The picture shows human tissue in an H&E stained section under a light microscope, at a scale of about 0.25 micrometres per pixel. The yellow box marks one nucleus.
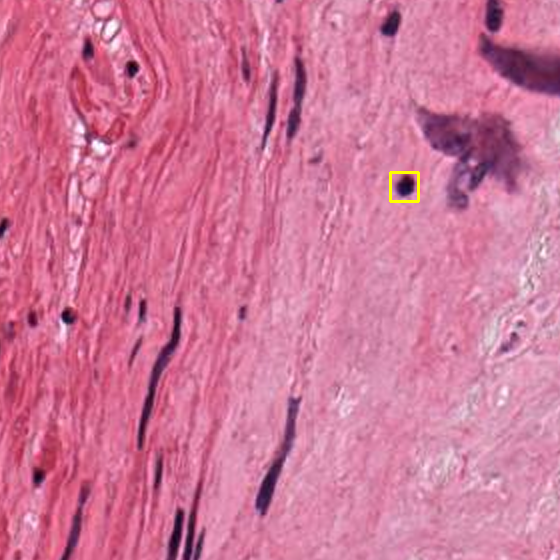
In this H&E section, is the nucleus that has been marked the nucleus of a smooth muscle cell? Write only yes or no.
no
